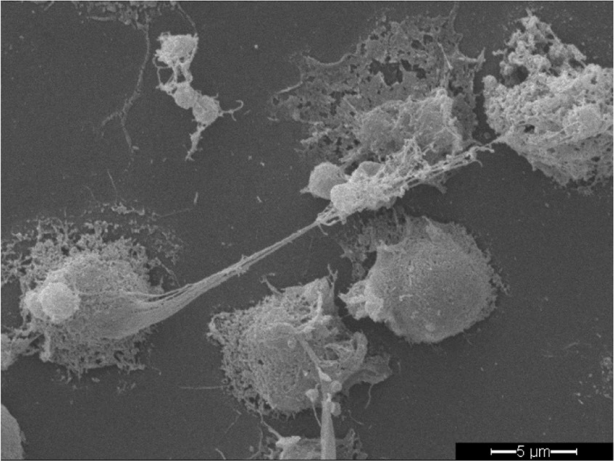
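Here several neutrophils are seen by scanning electron microscopy, and fine neutrophil extracellular traps spread between them. Many cells have flattened onto the surface: each has a smooth, domed centre and a thin, lacy margin full of holes that spreads out around it. Long strands of very thin fibres leave the cells and gather into bundles that run across the field, tying cells together. Small round bodies, only a few micrometres across, sit along these strands and in tangled meshwork at the top of the field.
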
